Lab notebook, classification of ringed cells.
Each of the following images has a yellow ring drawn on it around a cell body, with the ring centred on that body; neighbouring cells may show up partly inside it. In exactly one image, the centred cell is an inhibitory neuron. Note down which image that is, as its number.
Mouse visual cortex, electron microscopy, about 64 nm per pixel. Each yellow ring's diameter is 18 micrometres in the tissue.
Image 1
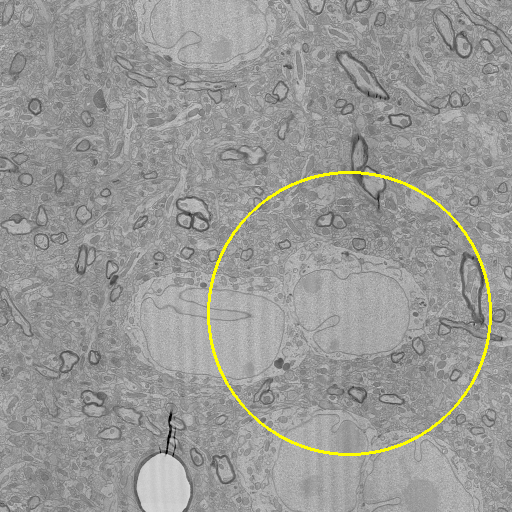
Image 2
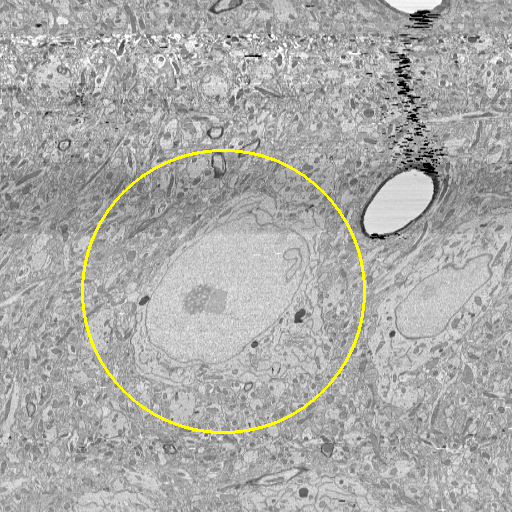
2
